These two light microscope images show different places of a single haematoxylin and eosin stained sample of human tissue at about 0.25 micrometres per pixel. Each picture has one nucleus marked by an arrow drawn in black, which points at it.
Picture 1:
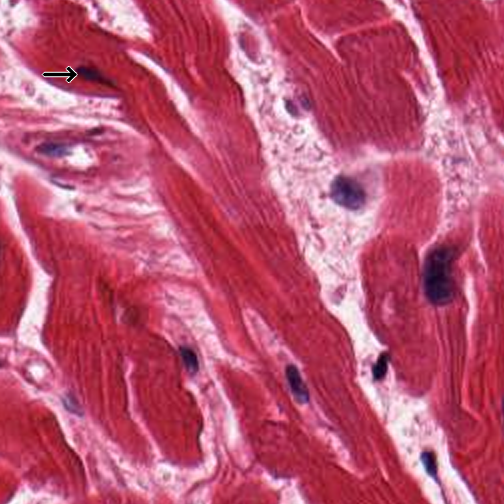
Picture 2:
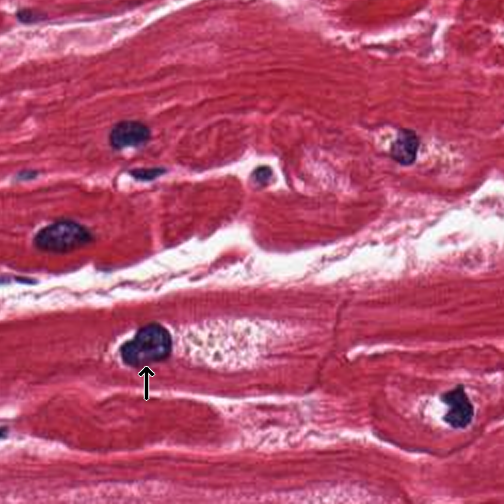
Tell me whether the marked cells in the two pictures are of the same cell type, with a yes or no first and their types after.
Yes, both are cardiomyocytes.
